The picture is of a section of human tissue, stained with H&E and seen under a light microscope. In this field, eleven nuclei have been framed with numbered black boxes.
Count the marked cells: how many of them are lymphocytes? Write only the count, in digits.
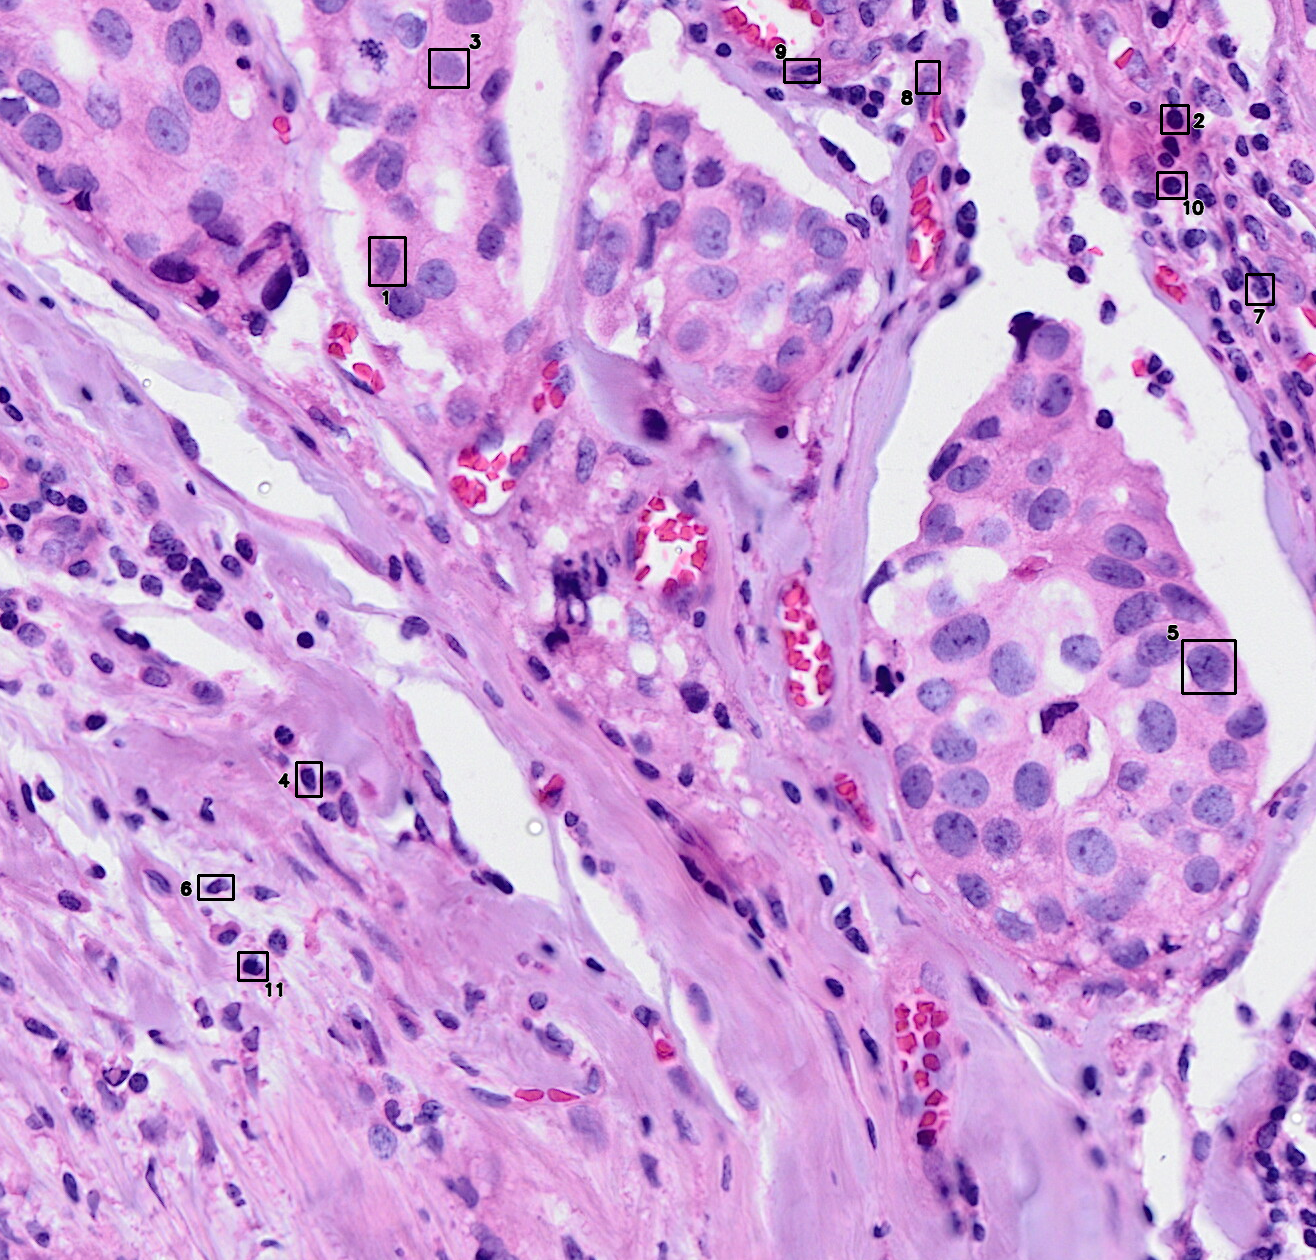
6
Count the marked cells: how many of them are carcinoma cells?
3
